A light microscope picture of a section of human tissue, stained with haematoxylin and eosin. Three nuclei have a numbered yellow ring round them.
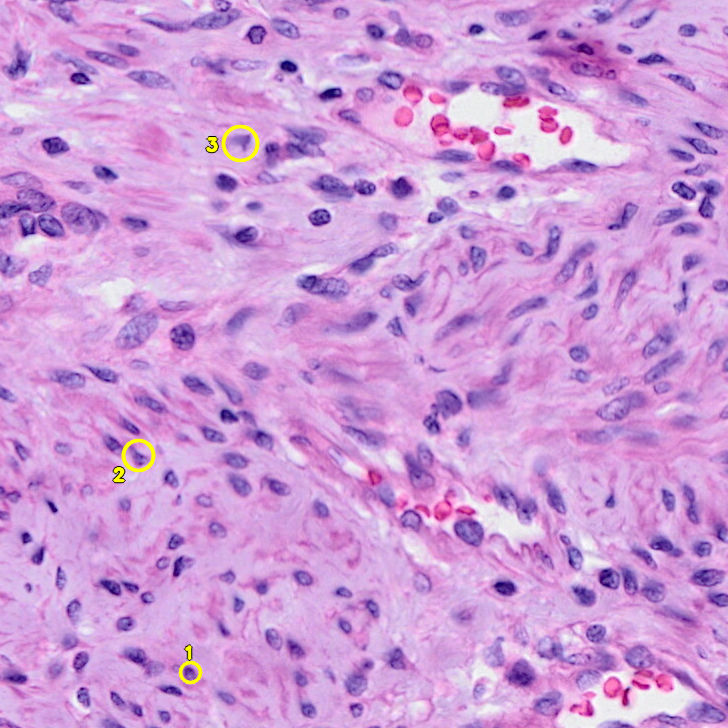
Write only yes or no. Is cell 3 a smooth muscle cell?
no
